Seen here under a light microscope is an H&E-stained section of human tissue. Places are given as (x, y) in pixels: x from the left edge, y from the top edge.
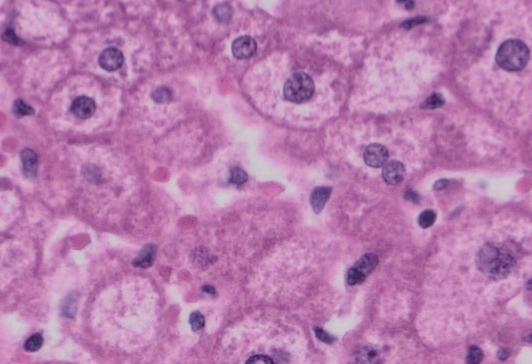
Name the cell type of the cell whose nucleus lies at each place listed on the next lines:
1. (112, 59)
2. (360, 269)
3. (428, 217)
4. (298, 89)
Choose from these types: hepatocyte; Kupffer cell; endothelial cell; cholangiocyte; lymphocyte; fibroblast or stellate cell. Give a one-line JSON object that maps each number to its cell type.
{"1": "hepatocyte", "2": "Kupffer cell", "3": "lymphocyte", "4": "hepatocyte"}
